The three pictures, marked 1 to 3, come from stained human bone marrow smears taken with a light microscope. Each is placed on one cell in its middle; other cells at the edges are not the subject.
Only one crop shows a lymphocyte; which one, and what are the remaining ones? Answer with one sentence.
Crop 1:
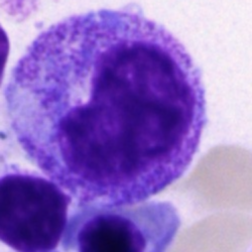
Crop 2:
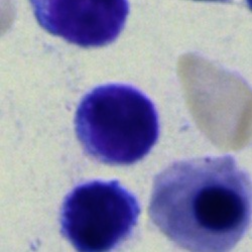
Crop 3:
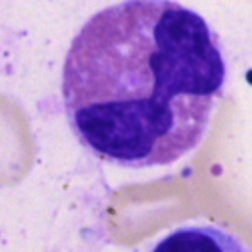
Crop 2 displays a lymphocyte, whereas crop 1 is a promyelocyte and crop 3 is an eosinophil.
